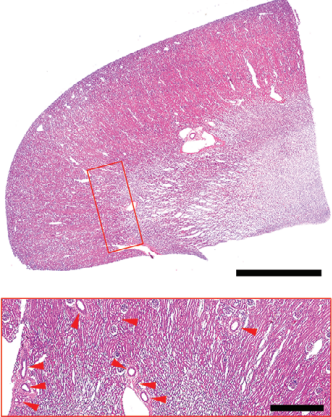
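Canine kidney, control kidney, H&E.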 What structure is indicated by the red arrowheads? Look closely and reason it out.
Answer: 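Microvessels. The red arrowheads point to small round or oval lumina cut in cross-section among the tubules. The marked structures have open, empty-looking lumina with a thin wall.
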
